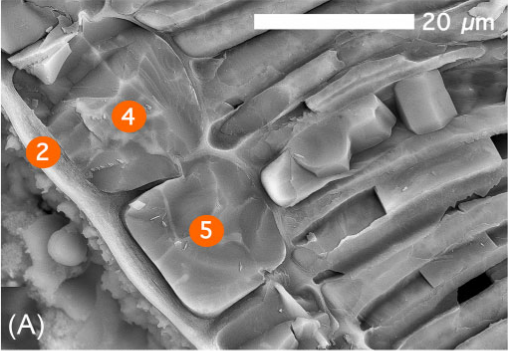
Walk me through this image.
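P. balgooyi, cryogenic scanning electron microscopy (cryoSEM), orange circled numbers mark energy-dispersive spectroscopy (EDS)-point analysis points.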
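A freeze-fractured plant tissue is seen, with a thick, smooth band running diagonally along its left edge. Directly beneath this band lie large, box-like cells whose fractured contents appear smooth and glassy. Toward the right, long narrow cells are stacked side by side in parallel rows, separated by thin walls and small gaps. The smooth band is the cuticle over the upper epidermis, the large cells are epidermal cells, and the elongated cells beneath them are mesophyll.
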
